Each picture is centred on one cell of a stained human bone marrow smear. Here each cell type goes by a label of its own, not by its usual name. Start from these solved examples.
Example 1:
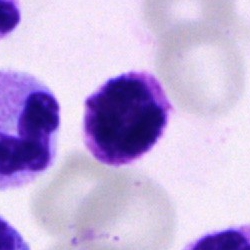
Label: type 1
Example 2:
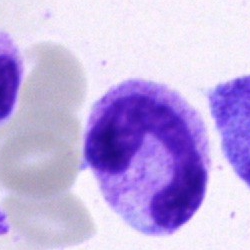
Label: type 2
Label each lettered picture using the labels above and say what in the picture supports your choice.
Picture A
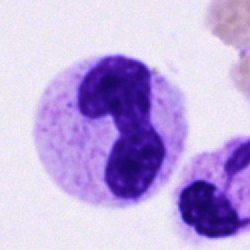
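Answer: type 2. The cytoplasm is plentiful, with its widest rim on the left side of the nucleus.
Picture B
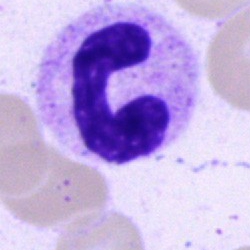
Answer: type 2. The cytoplasm is plentiful and pale lilac.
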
